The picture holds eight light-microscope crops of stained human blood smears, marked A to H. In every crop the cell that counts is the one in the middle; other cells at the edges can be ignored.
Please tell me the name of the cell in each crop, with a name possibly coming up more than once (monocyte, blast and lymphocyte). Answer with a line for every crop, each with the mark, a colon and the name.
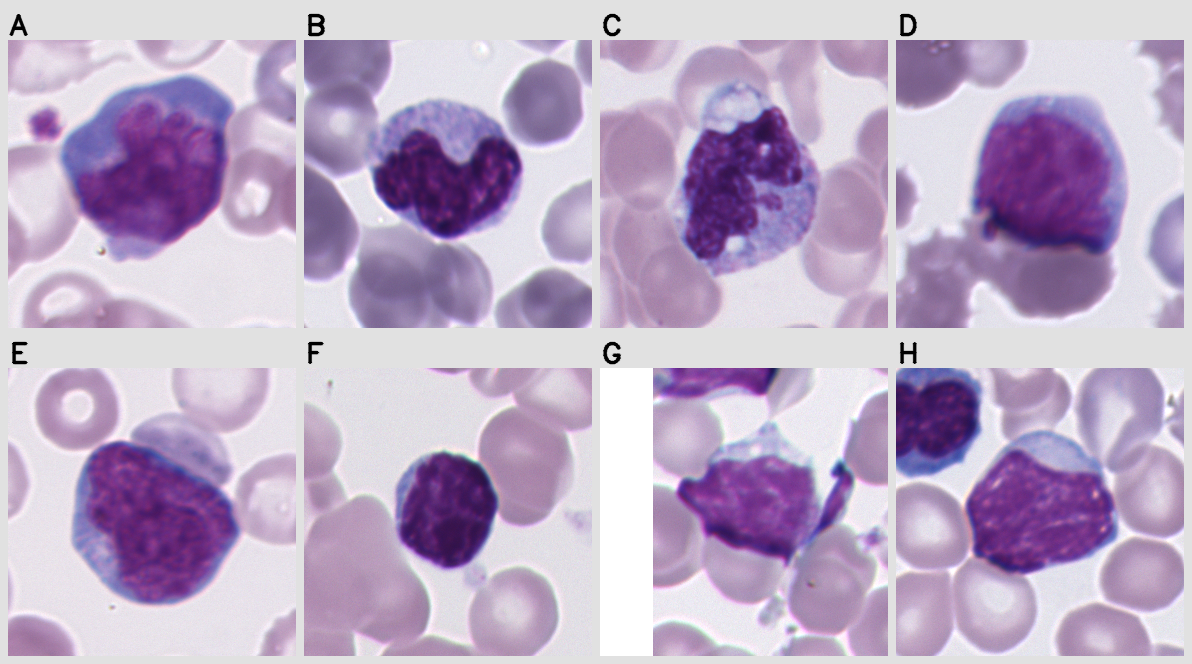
A: blast
B: monocyte
C: monocyte
D: blast
E: blast
F: lymphocyte
G: lymphocyte
H: blast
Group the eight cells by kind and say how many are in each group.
blast: 4
monocyte: 2
lymphocyte: 2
